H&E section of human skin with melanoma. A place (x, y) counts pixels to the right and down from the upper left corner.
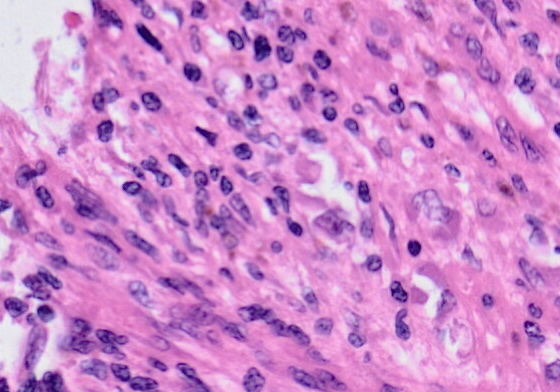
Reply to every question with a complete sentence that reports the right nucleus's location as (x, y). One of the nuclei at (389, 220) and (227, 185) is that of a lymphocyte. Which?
The one at (227, 185) is the nucleus belonging to a lymphocyte, not the other one.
